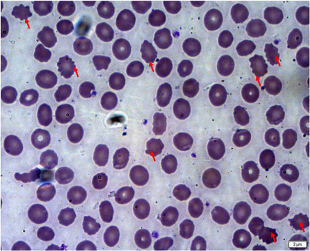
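A peripheral blood smear with densely packed red blood cells, most of them round, smooth-edged and anuclear with a pale centre. Scattered among them are acanthocytes, red cells with several irregular, unevenly spaced spiky projections and a denser look without central pallor. Small dark purple platelets lie between the red cells.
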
